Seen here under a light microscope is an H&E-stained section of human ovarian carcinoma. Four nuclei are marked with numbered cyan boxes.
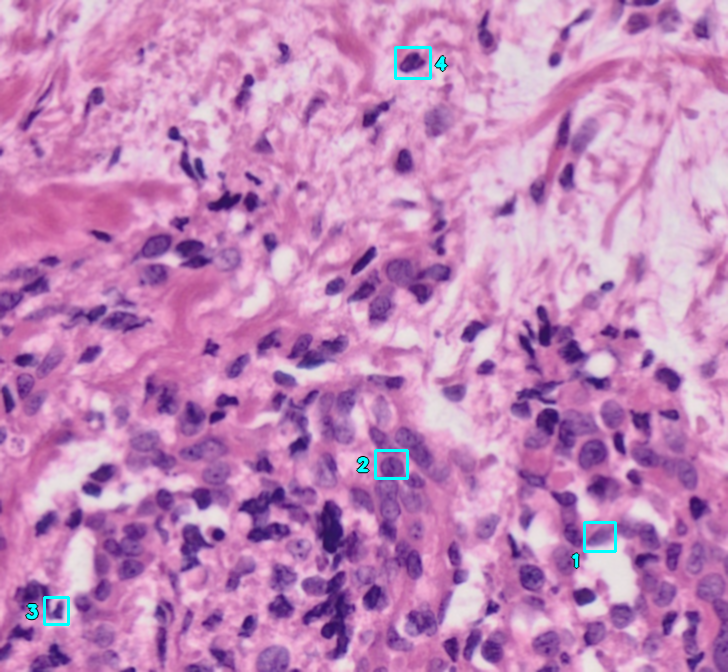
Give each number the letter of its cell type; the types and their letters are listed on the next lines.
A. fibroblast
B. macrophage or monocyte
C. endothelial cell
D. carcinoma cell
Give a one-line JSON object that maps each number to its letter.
{"1": "D", "2": "D", "3": "D", "4": "B"}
